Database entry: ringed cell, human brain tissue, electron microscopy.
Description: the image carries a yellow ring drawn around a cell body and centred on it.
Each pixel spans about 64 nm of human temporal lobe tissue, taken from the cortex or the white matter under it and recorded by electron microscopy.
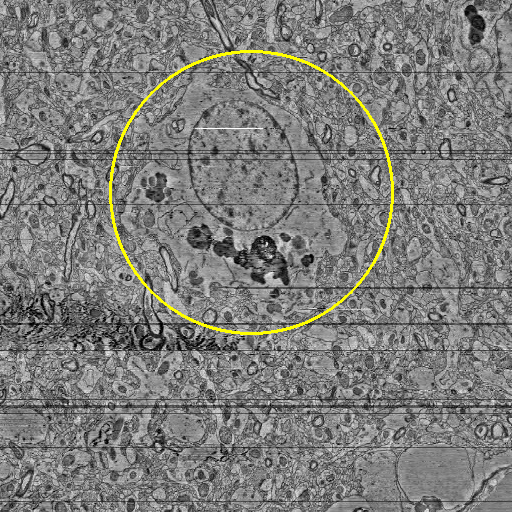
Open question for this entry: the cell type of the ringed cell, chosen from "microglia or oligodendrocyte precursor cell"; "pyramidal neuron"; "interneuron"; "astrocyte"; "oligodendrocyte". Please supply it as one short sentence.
The ringed cell is an astrocyte.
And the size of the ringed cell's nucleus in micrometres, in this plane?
About 9 by 7 micrometers for the nucleus, in this plane.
